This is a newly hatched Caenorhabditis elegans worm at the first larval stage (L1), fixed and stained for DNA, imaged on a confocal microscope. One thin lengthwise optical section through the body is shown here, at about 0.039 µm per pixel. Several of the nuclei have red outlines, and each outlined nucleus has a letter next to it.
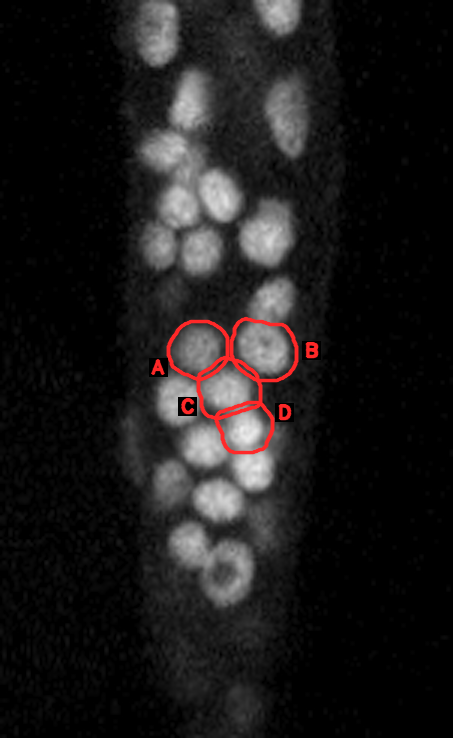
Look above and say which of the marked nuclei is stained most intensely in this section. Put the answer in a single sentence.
Nucleus D shows the strongest staining.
